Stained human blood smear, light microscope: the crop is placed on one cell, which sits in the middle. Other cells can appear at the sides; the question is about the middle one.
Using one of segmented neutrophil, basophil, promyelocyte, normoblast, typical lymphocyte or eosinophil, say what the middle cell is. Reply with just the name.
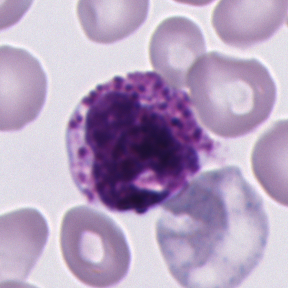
basophil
